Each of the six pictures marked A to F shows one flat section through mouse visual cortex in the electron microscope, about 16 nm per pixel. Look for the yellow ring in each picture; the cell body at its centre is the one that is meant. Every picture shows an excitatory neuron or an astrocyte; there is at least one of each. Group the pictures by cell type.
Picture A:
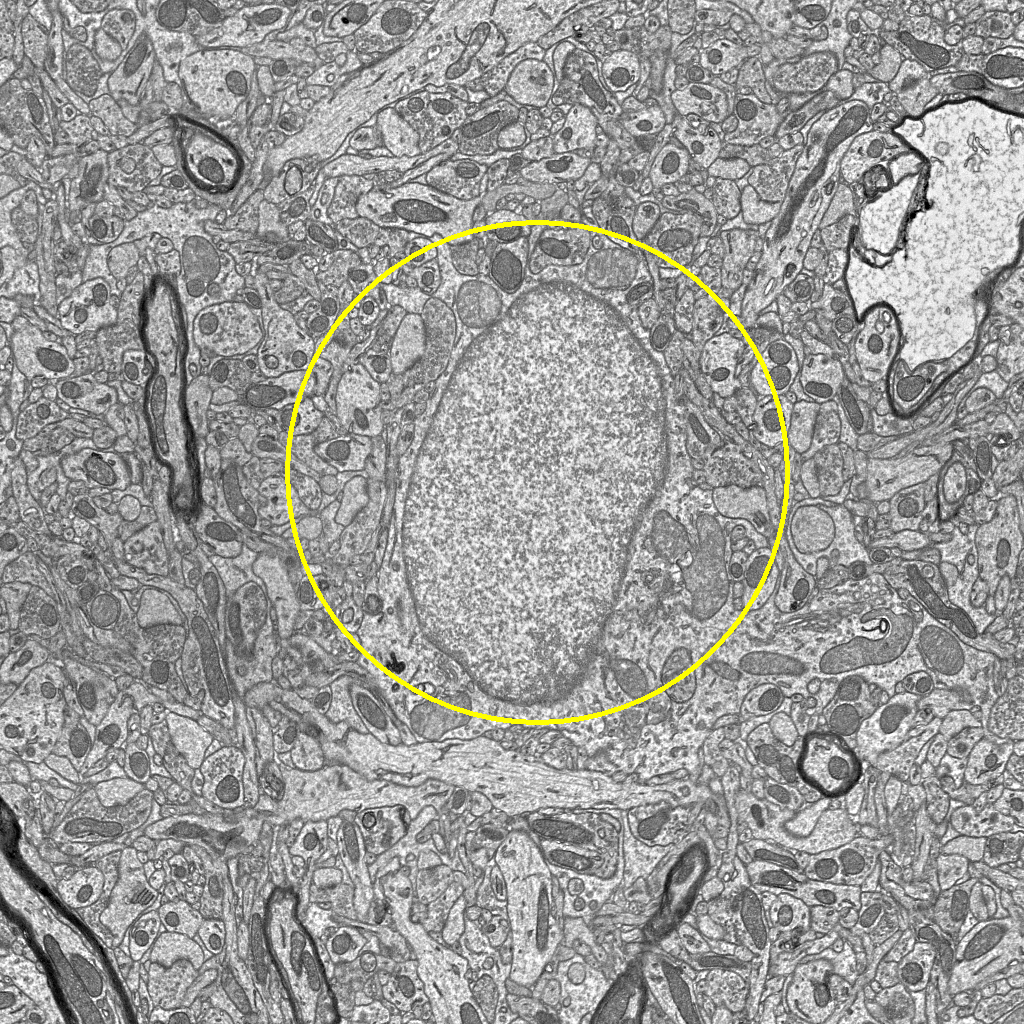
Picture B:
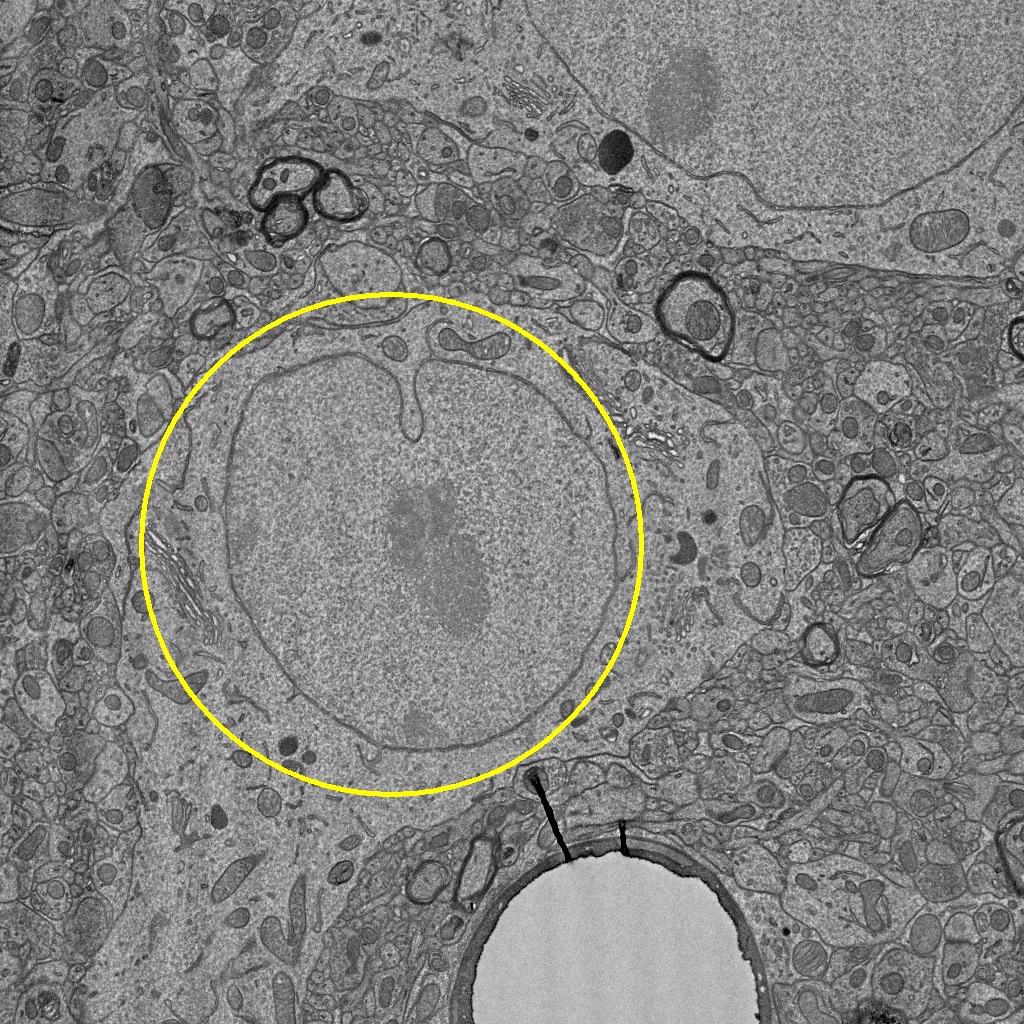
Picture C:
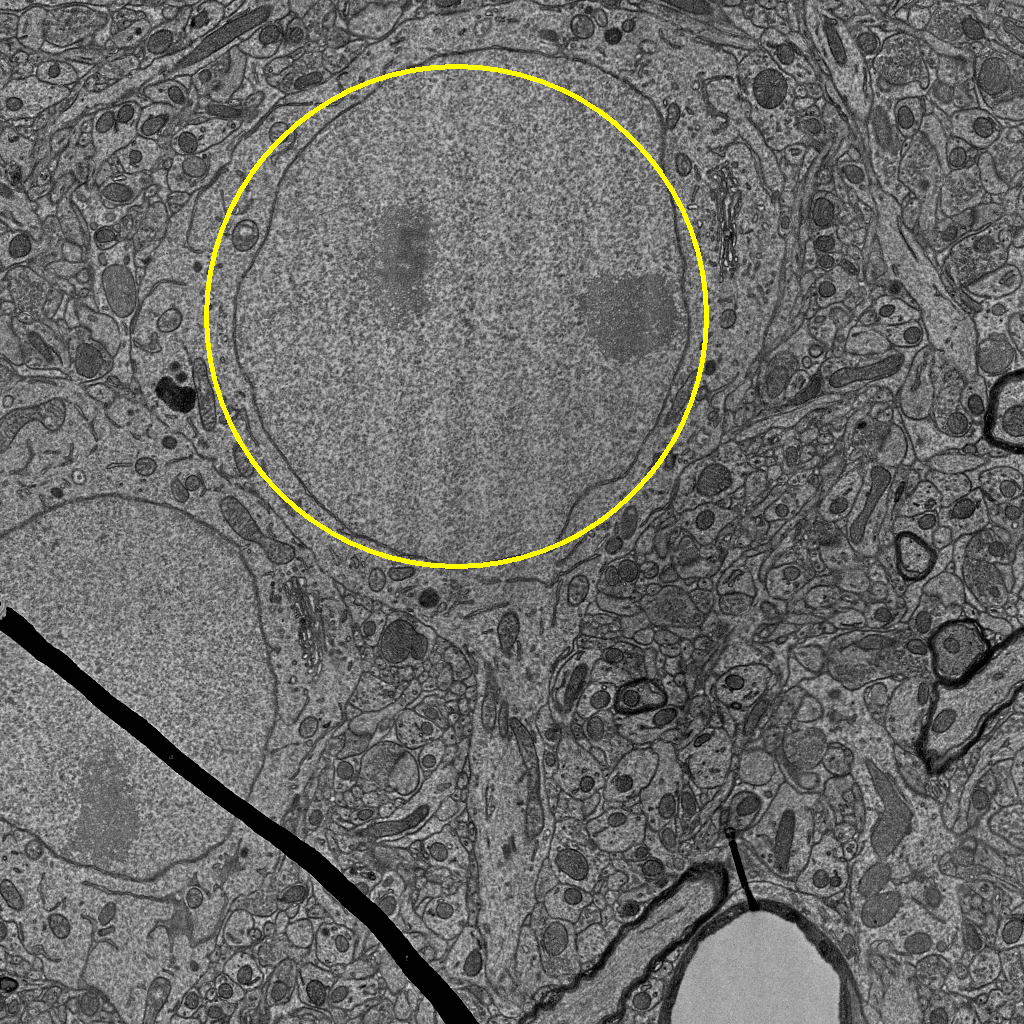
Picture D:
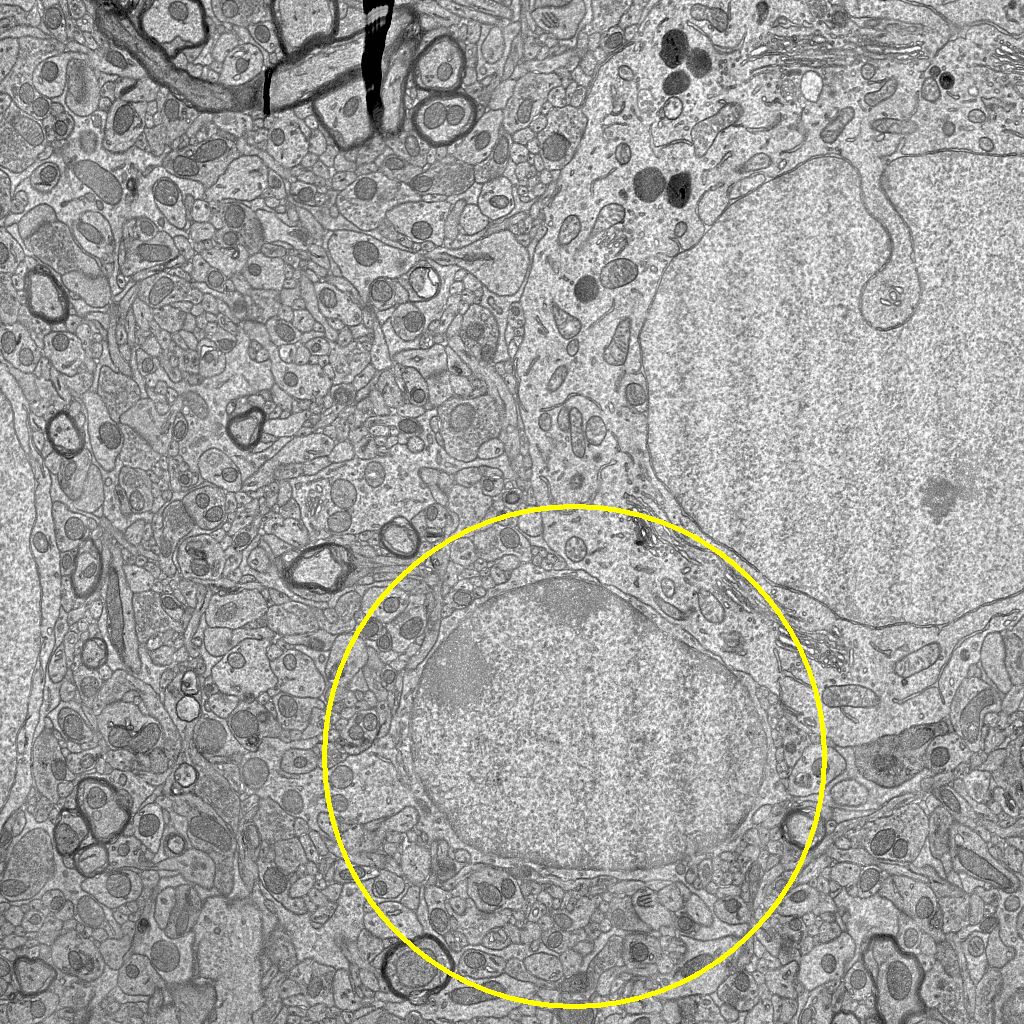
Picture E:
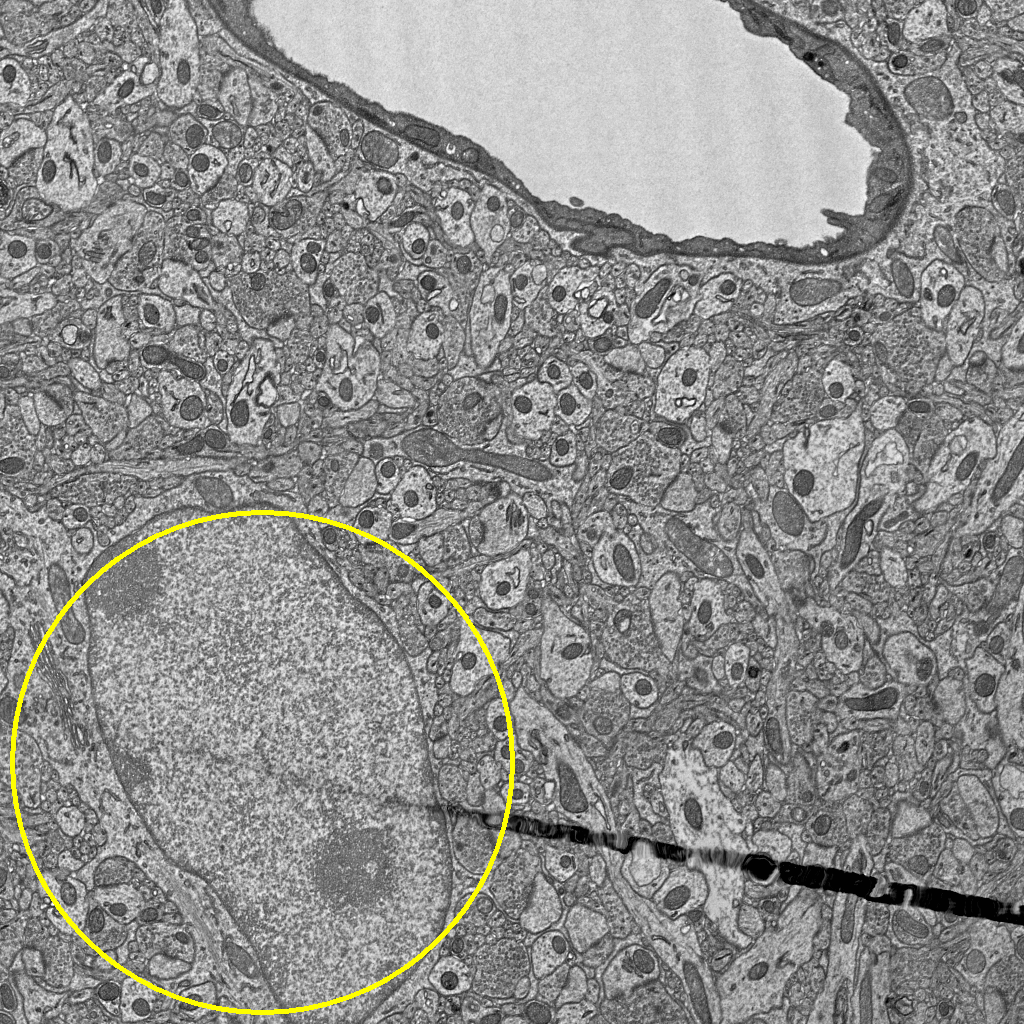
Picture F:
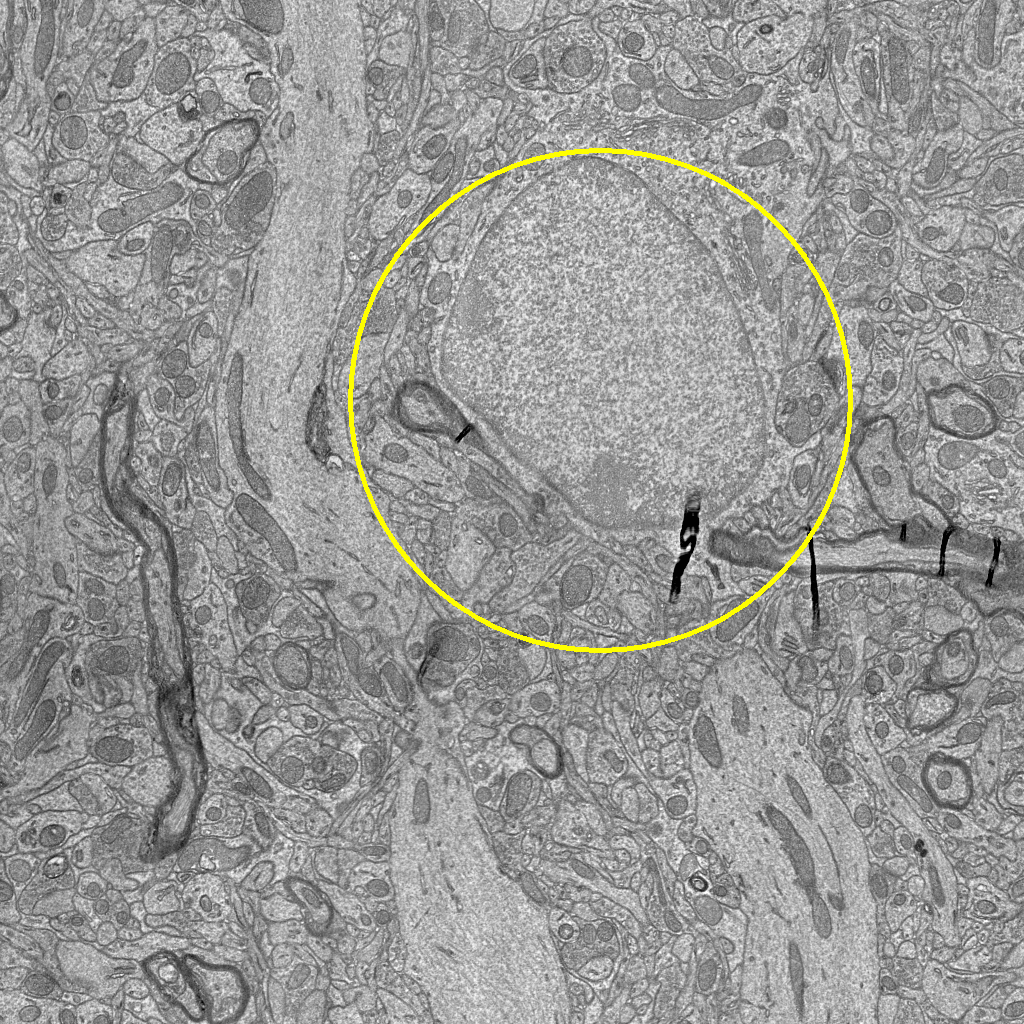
Pictures B and C show excitatory neurons, and pictures A, D, E and F show astrocytes.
